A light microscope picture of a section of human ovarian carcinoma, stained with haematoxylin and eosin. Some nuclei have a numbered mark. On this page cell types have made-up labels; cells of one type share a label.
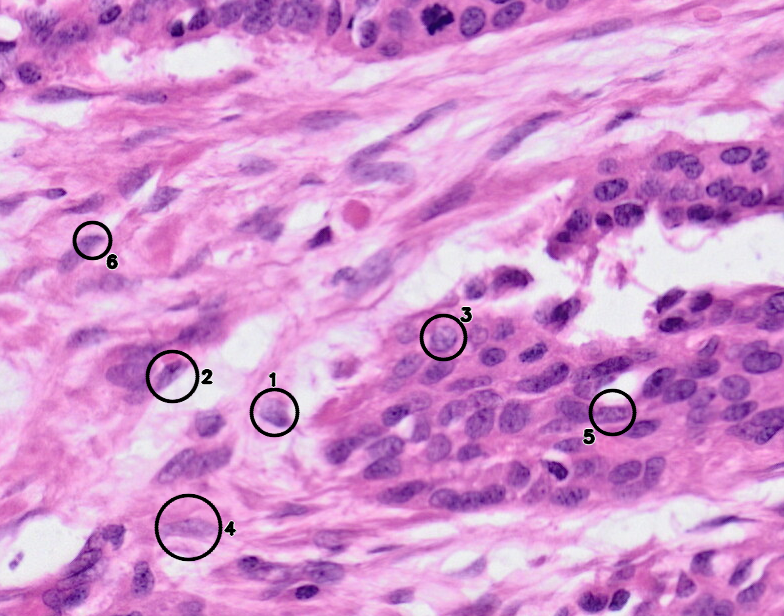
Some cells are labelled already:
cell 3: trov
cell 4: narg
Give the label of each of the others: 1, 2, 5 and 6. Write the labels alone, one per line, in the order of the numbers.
narg
narg
trov
narg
